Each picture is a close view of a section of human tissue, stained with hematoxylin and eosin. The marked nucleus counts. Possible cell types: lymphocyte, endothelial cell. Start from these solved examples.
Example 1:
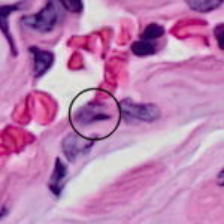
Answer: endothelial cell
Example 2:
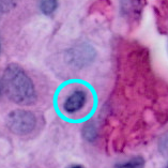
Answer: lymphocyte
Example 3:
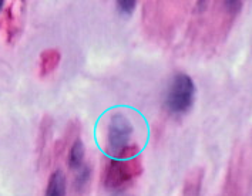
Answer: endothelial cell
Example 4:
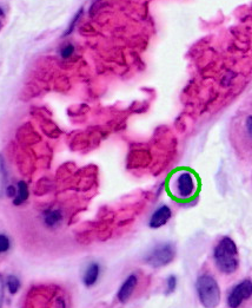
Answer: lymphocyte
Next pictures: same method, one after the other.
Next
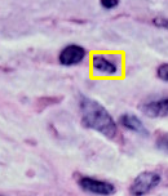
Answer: lymphocyte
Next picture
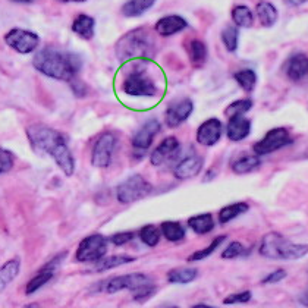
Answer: lymphocyte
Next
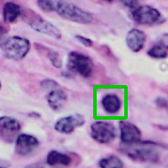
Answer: lymphocyte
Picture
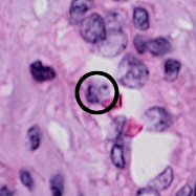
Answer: endothelial cell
